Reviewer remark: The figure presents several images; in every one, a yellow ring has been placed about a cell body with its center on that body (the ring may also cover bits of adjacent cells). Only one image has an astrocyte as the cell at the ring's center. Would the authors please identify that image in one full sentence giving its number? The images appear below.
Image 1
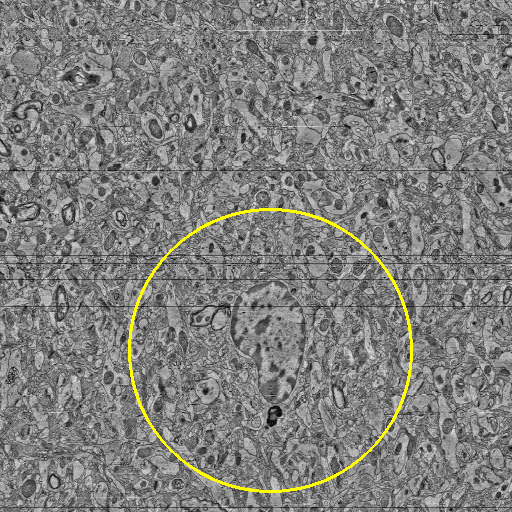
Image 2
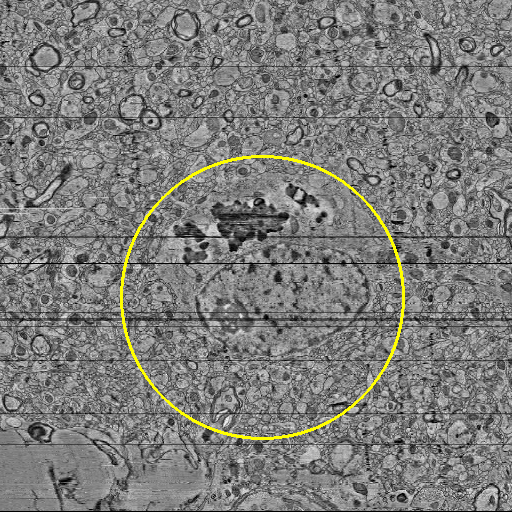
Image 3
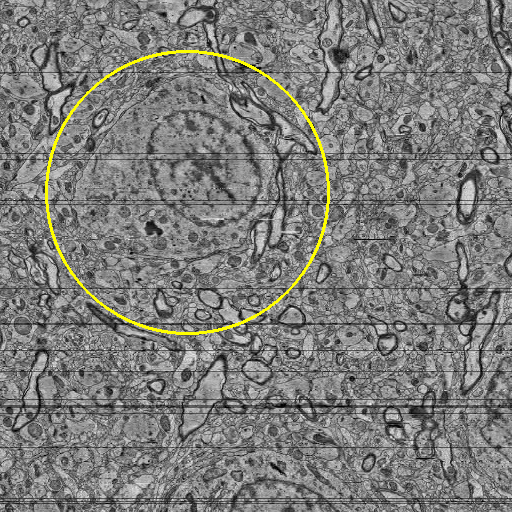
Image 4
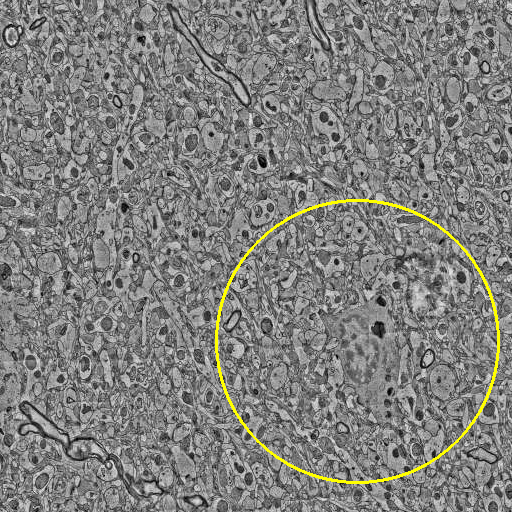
The ring's central cell in image 2 is the one the question describes.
